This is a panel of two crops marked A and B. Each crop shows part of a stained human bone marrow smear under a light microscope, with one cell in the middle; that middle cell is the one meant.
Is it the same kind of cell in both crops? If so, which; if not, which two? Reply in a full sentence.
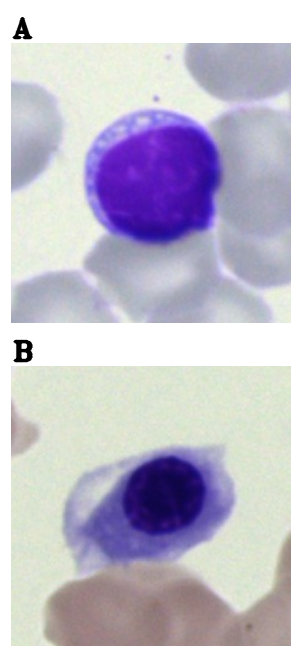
No, crop A shows a lymphocyte, and it is crop B that shows an erythroblast.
